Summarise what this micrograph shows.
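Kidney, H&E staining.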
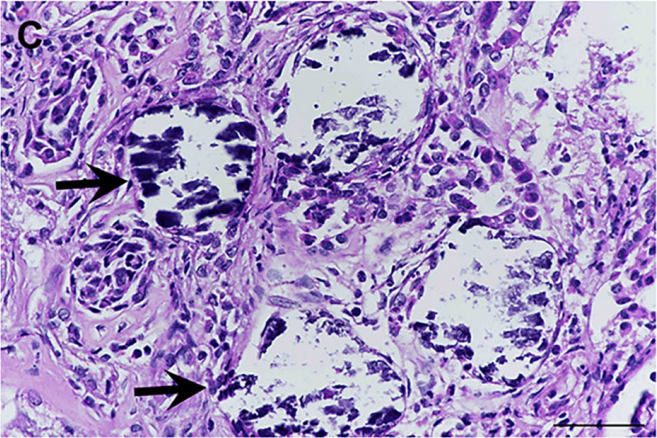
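Renal tissue in which several round tubular lumens are filled with dark purple, fragmented, crystalline-looking deposits. The deposits are ringed by tubular epithelial cells and surrounded by cellular interstitium with many small dark nuclei and pink collagen.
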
